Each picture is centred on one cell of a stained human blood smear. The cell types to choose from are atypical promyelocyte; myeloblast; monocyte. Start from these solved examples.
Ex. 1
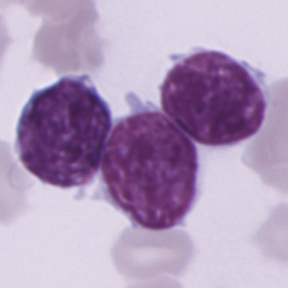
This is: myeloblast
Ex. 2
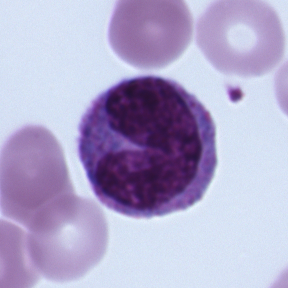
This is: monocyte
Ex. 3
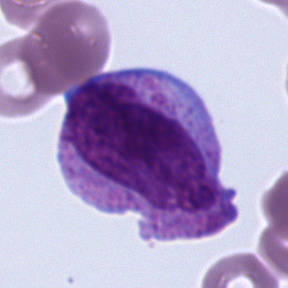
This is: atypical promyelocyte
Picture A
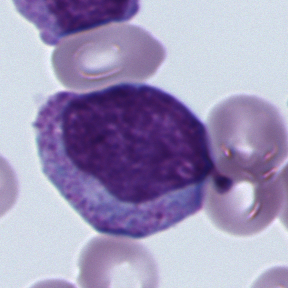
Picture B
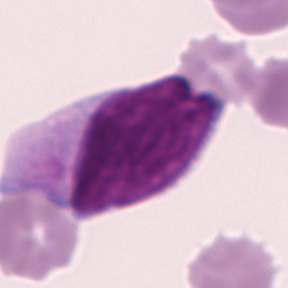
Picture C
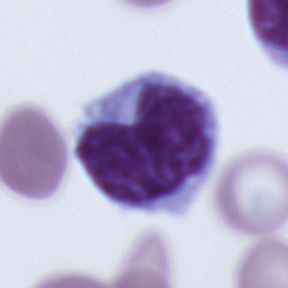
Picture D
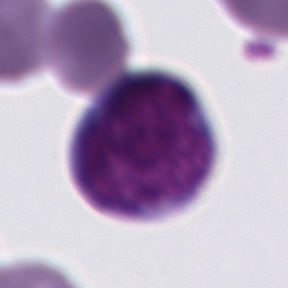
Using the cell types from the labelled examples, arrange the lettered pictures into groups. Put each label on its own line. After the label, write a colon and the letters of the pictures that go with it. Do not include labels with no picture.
atypical promyelocyte: A
myeloblast: B, D
monocyte: C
